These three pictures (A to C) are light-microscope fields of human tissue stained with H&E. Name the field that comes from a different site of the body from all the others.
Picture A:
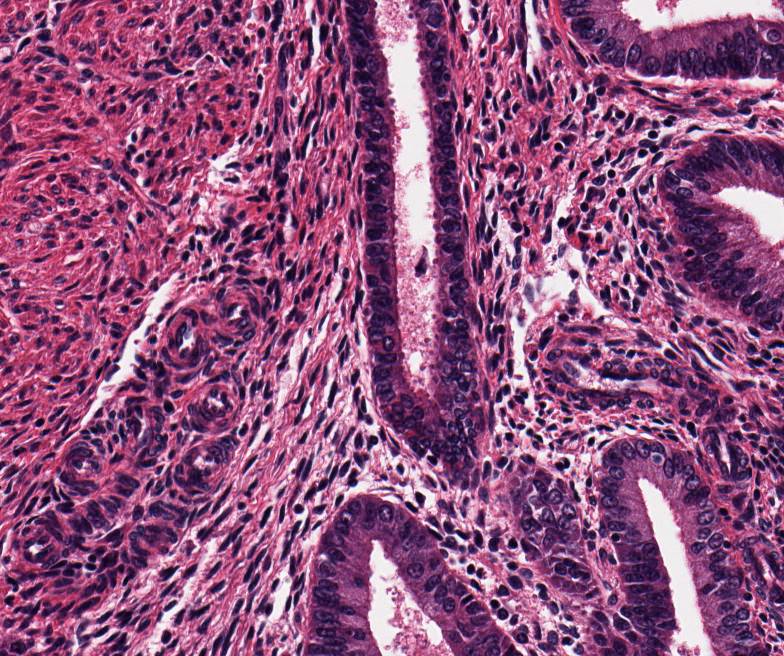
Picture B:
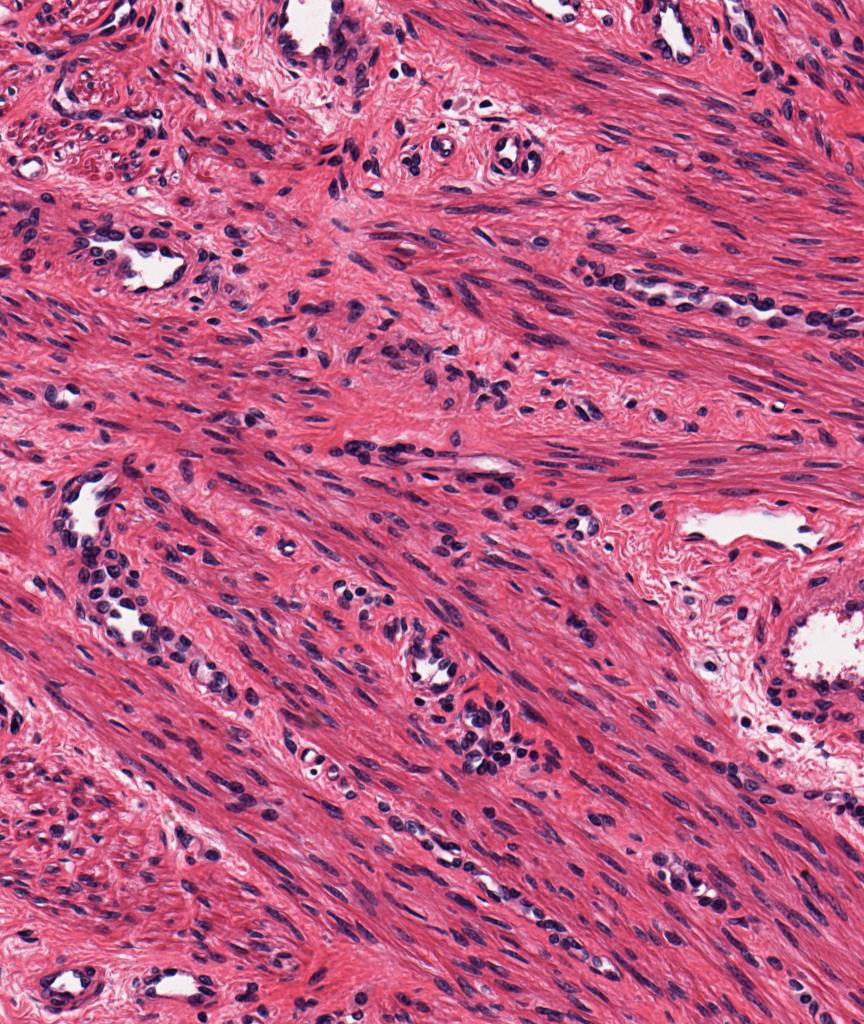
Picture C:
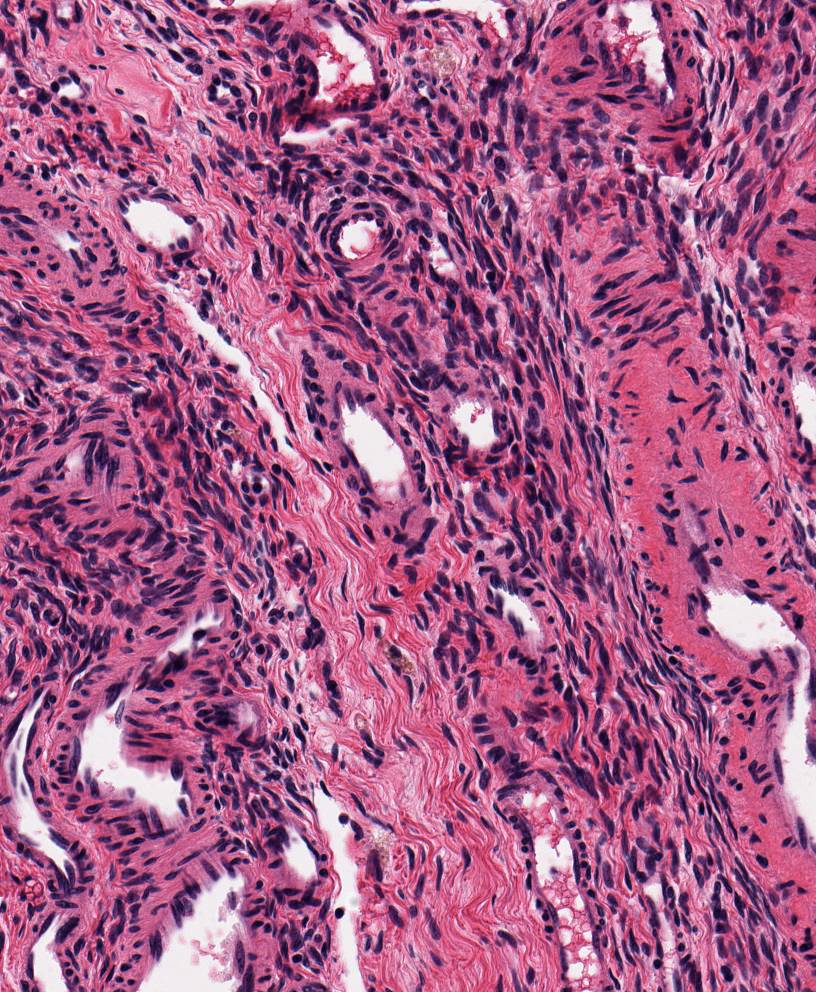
C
